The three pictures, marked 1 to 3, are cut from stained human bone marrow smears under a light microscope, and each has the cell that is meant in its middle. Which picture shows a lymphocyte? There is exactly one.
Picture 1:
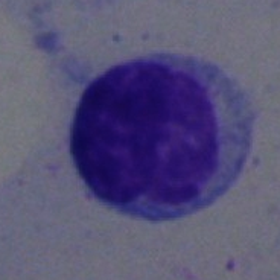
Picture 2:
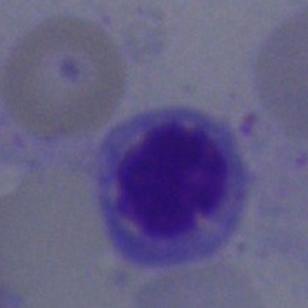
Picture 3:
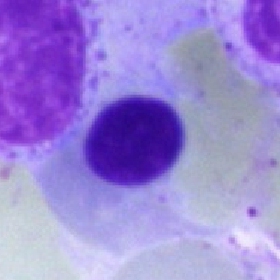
1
